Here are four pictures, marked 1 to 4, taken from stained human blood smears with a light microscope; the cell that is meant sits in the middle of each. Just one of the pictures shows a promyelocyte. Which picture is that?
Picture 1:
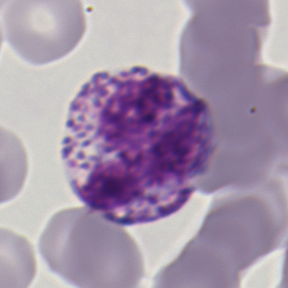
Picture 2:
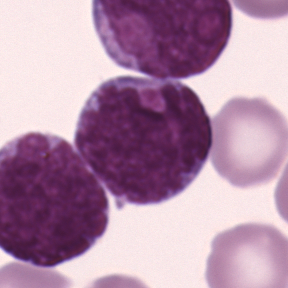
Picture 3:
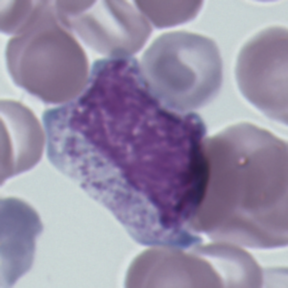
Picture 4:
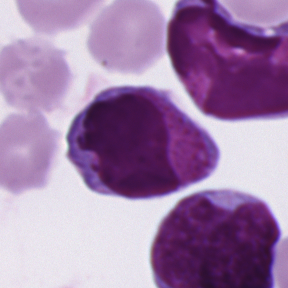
3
